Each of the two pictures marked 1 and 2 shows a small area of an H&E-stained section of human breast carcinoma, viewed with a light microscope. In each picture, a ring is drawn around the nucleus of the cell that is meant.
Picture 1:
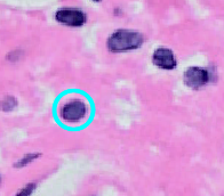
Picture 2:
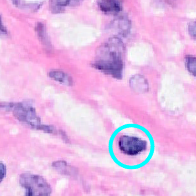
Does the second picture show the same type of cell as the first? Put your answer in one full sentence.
Yes, both are lymphocytes.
